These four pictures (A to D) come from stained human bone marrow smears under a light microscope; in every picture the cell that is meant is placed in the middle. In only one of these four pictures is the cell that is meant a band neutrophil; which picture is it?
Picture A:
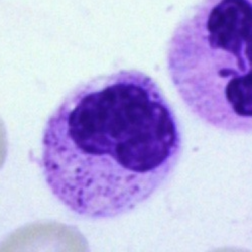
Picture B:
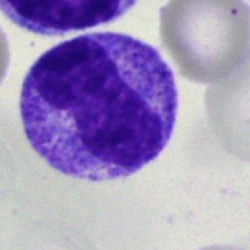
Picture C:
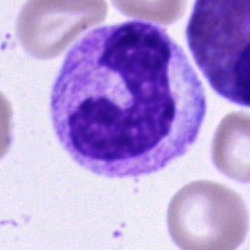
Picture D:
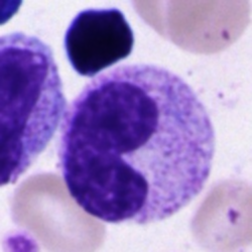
C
